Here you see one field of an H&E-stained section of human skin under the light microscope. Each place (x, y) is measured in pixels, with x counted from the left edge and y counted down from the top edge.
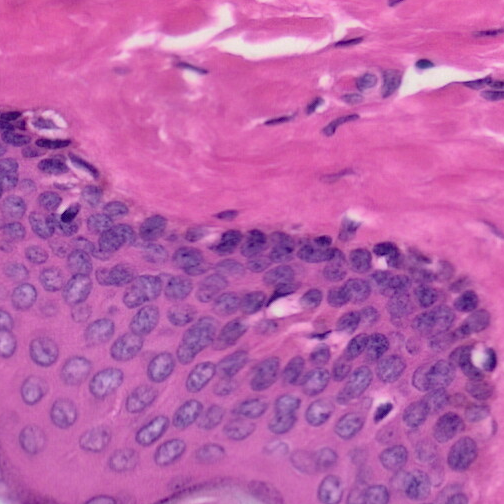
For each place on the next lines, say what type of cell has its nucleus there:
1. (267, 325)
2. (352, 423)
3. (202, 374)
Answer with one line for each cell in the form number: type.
1: basal keratinocyte
2: suprabasal keratinocyte
3: suprabasal keratinocyte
